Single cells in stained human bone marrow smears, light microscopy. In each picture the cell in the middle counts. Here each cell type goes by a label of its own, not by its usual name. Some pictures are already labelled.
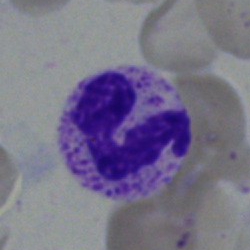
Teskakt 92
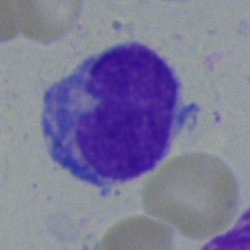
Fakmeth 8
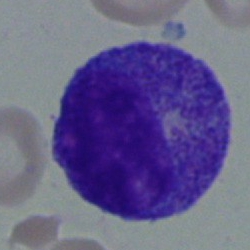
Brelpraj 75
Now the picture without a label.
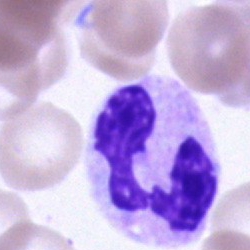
Teskakt 92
